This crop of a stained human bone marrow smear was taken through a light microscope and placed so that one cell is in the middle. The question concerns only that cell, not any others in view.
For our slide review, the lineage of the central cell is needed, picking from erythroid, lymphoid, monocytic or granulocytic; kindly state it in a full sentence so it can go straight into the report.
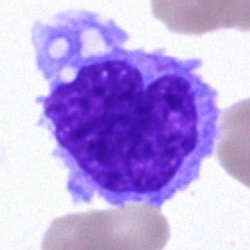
The cell in the middle falls under the monocytic lineage.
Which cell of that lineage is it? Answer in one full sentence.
The cell marked by its central position in the crop is a monocyte.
